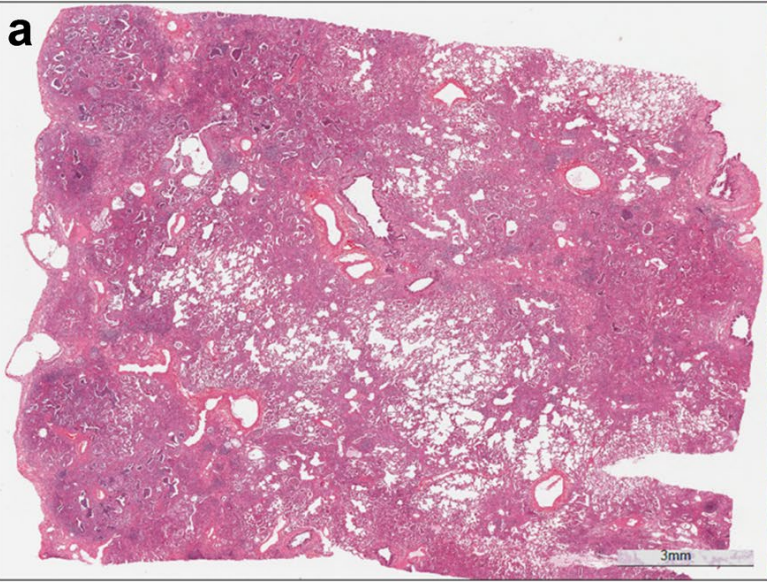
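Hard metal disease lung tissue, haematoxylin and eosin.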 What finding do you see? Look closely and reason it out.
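Dense, deeply pink consolidated parenchyma occupies much of the section, especially along the left edge. Small rounded cystic airspaces lie within the dense tissue. A paler, lacy region of open alveoli remains in the centre.
Microscopic “honeycomb” patterns.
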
